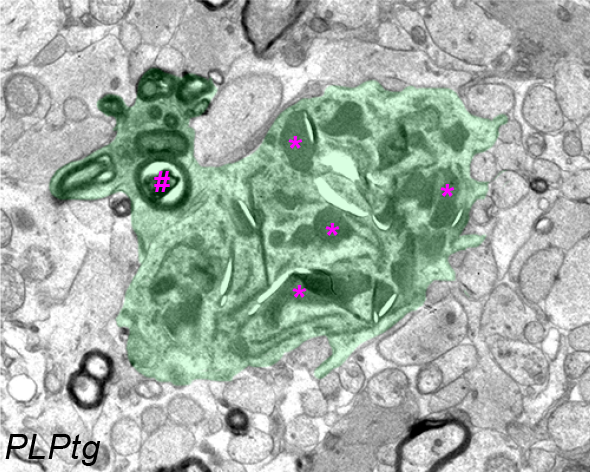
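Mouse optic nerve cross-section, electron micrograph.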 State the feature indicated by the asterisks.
Lysosomal storage material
